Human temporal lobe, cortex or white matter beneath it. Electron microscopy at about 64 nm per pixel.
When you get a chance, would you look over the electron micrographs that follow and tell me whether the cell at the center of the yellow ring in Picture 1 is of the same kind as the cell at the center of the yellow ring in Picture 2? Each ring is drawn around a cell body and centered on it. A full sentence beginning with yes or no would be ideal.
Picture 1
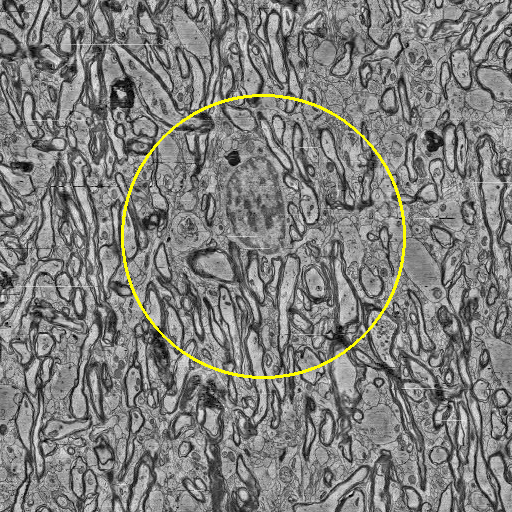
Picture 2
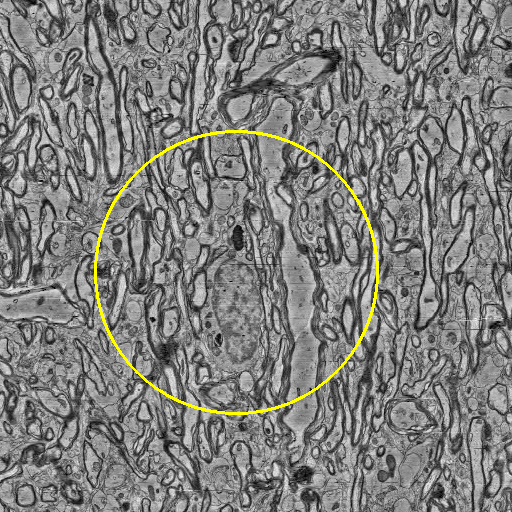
Yes, the two cells are of the same kind.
